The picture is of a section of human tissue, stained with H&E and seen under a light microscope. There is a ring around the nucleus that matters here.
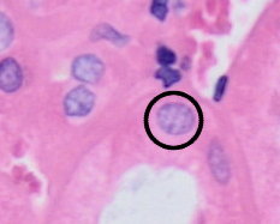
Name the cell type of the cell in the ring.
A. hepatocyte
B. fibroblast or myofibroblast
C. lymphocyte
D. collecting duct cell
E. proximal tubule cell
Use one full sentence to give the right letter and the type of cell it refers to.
The choice that fits is option E, as the cell in the ring is a proximal tubule cell.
